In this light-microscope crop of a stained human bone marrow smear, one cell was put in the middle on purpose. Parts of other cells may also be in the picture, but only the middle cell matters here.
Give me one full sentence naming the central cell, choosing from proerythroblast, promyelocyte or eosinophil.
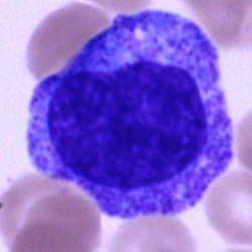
The centrally located cell in the crop is a promyelocyte.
